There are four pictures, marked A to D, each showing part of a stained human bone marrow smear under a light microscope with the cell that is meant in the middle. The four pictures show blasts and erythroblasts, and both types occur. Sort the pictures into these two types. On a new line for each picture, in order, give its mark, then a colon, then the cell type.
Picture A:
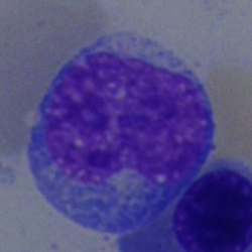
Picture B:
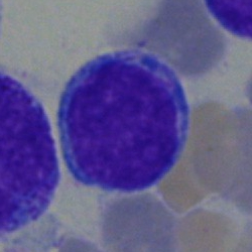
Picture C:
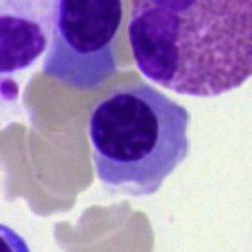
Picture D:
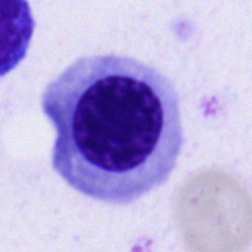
A: blast
B: blast
C: erythroblast
D: erythroblast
